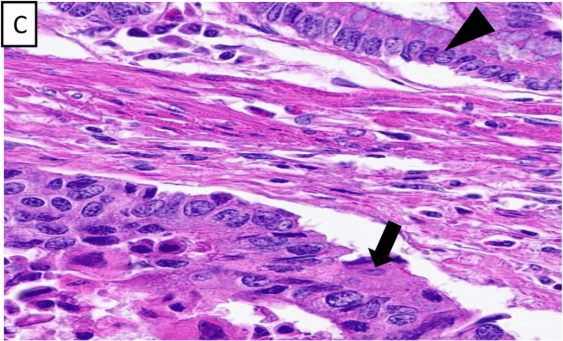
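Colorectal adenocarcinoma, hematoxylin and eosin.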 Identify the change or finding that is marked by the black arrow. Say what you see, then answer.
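The outer border of the cluster is formed by eosinophilic cytoplasm. On this evidence: Reverse polarity.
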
